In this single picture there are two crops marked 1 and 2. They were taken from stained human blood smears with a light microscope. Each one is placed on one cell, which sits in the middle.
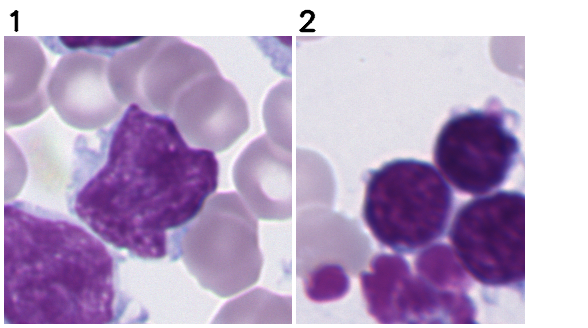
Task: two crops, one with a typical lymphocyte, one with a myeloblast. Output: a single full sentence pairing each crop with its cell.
Crop 1 here is a typical lymphocyte, and crop 2 is a myeloblast.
